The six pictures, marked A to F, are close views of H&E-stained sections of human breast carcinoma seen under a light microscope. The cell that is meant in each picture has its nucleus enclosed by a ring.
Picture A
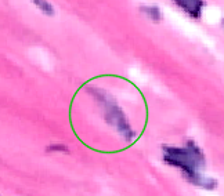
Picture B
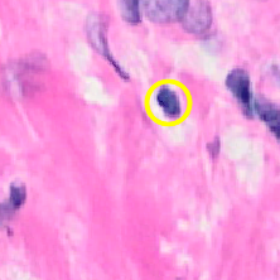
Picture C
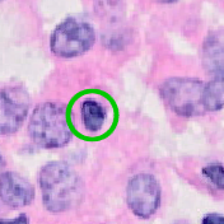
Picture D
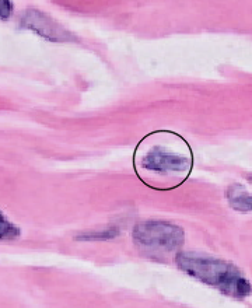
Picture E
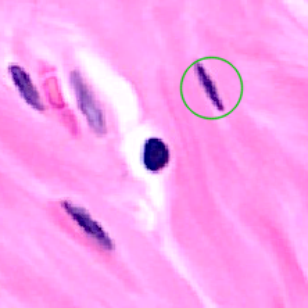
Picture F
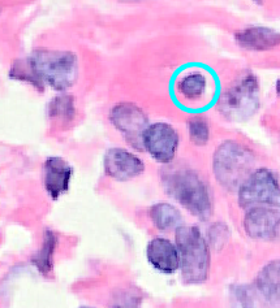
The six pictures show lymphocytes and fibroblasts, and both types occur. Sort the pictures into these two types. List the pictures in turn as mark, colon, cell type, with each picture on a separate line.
A: fibroblast
B: lymphocyte
C: lymphocyte
D: lymphocyte
E: fibroblast
F: lymphocyte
